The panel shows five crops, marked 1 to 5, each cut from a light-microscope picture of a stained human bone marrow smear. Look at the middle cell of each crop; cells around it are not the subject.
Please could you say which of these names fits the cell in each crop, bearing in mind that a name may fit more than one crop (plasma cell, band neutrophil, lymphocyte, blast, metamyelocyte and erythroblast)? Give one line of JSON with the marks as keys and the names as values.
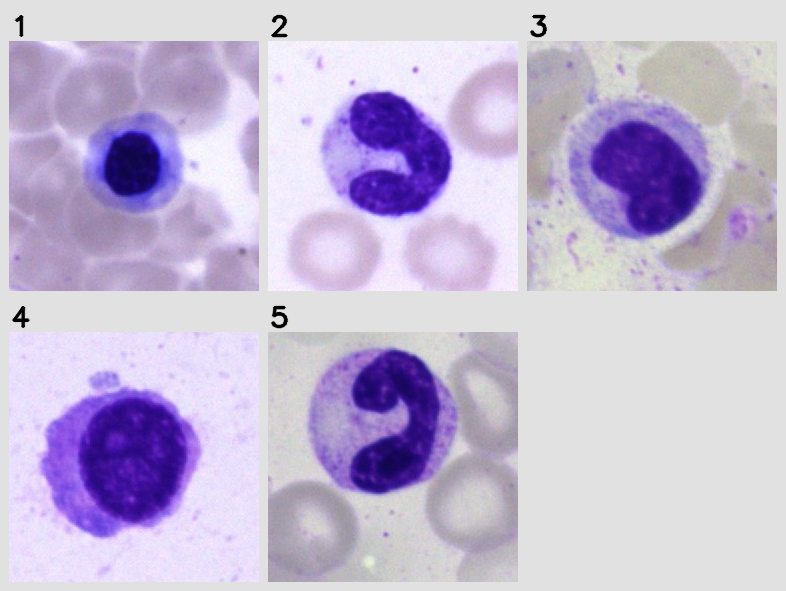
{"1": "erythroblast", "2": "band neutrophil", "3": "metamyelocyte", "4": "plasma cell", "5": "band neutrophil"}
